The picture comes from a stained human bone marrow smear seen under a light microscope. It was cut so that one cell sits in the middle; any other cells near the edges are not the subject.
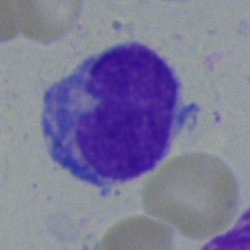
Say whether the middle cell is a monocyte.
yes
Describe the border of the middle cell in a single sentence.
As for its outline, the cell is irregular, ragged or drawn into projections.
